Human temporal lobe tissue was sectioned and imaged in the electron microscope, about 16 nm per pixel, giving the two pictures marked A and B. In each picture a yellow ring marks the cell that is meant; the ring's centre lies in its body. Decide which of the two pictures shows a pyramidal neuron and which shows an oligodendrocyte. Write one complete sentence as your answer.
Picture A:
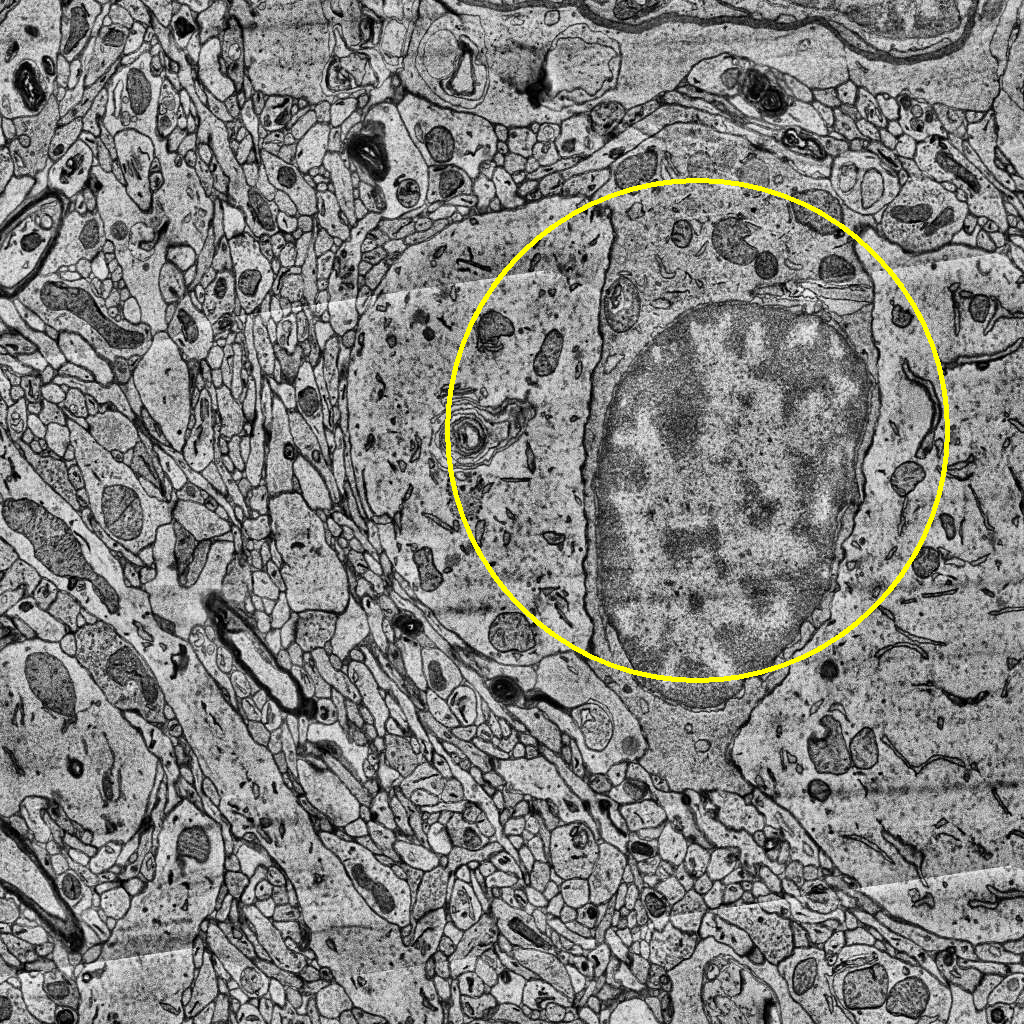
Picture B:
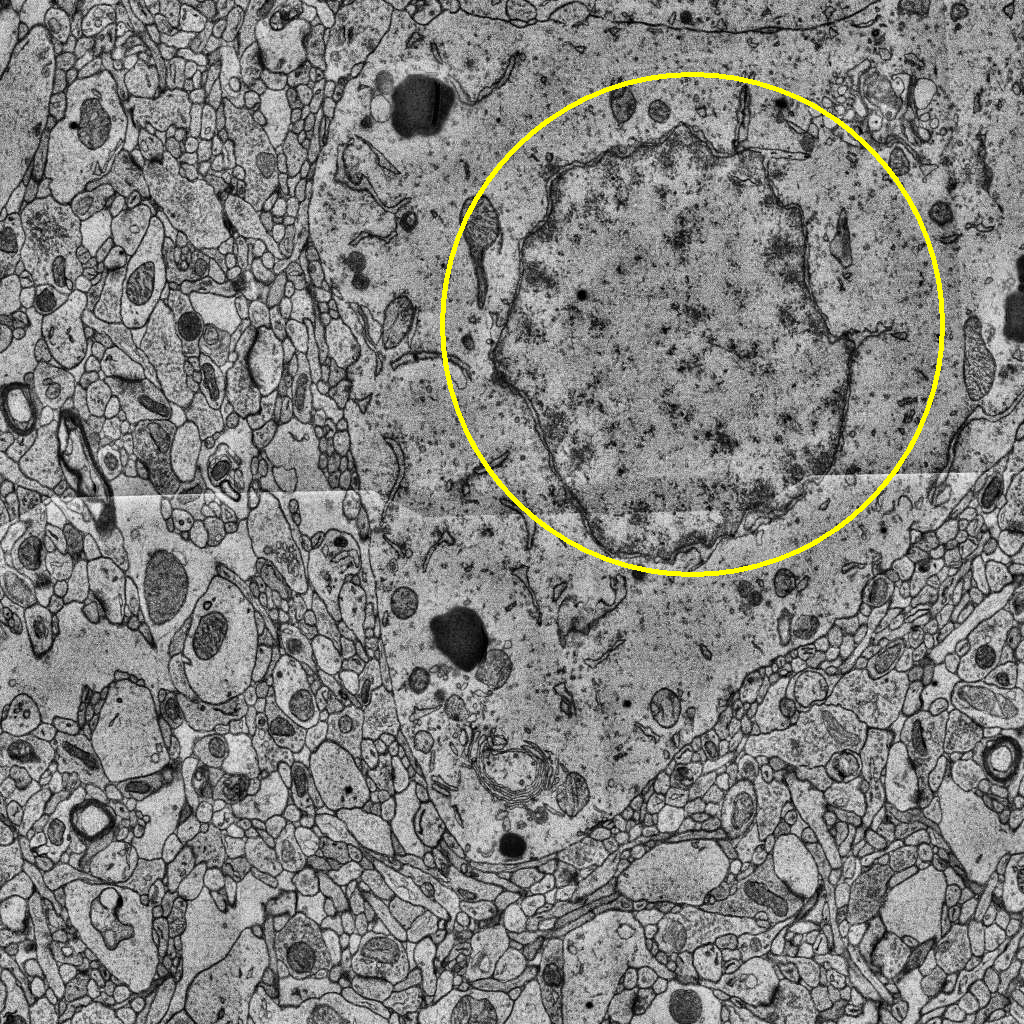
Picture B shows a pyramidal neuron, while picture A shows an oligodendrocyte.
